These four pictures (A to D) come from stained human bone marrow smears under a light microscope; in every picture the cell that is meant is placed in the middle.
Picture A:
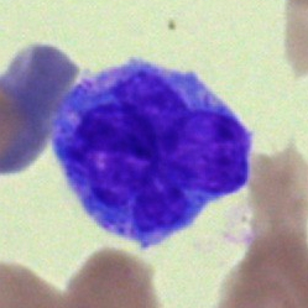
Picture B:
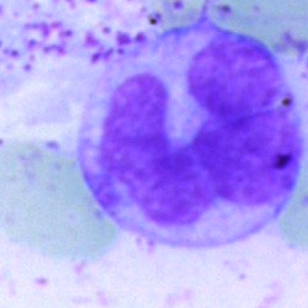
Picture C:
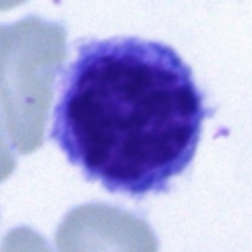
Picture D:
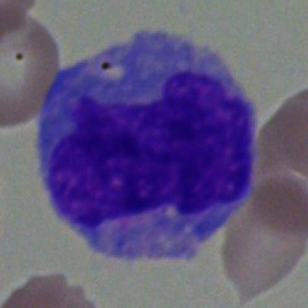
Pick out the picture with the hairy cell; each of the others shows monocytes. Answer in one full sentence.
The hairy cell is the one in picture C.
